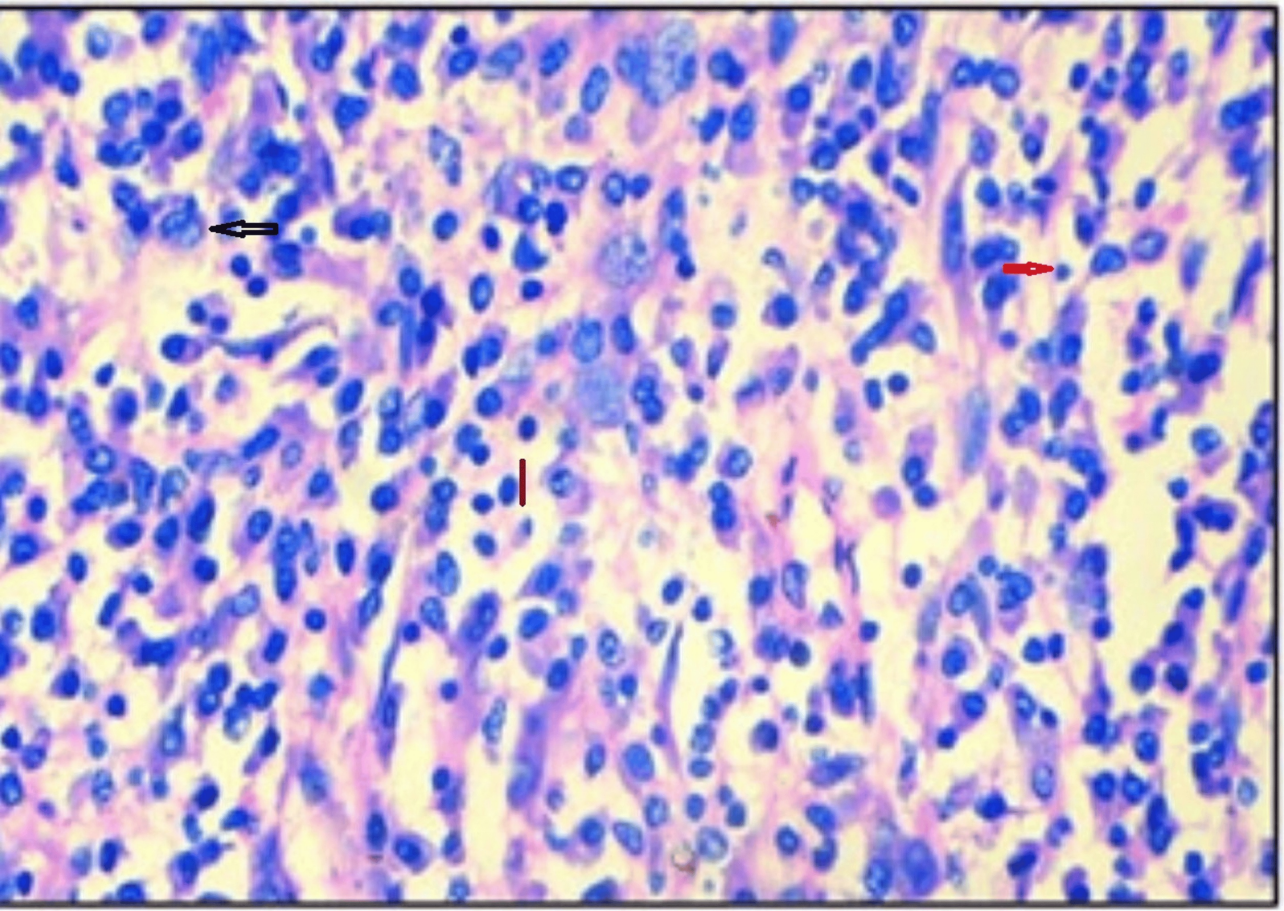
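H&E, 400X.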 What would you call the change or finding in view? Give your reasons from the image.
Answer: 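Numerous small round dark nuclei crowd the whole field. Larger cells with pale open nuclei and pink cytoplasm are scattered among them. The answer: dense chronic inflammatory infiltrate.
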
